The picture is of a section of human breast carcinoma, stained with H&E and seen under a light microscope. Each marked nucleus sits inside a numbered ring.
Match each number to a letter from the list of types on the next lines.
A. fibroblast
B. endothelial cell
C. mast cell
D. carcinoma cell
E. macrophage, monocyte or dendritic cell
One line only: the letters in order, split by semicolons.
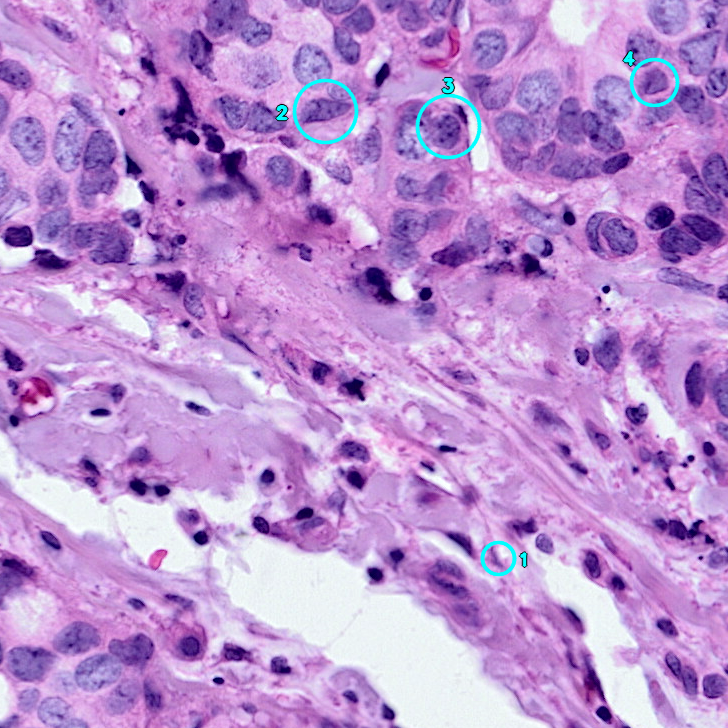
A; D; D; D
